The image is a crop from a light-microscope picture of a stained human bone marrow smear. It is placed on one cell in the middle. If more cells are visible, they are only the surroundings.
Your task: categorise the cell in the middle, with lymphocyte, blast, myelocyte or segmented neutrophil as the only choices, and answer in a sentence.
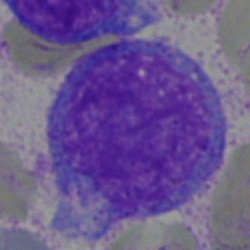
Here the centrally located cell is a blast.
